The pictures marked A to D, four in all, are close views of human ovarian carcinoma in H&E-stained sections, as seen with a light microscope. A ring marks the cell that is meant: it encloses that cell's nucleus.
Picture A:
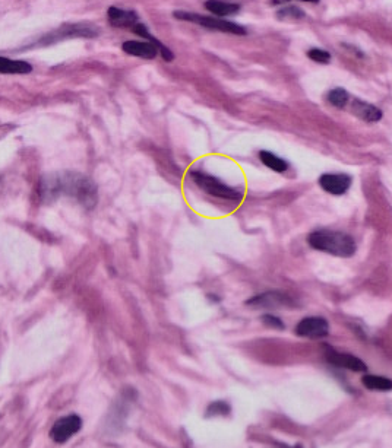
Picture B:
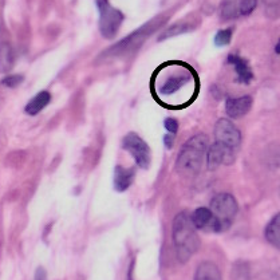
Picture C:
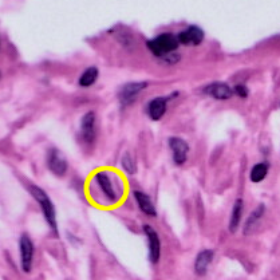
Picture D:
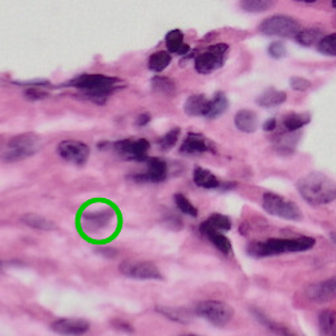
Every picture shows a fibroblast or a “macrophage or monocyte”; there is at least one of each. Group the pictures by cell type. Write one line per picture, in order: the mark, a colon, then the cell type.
A: fibroblast
B: macrophage or monocyte
C: fibroblast
D: fibroblast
